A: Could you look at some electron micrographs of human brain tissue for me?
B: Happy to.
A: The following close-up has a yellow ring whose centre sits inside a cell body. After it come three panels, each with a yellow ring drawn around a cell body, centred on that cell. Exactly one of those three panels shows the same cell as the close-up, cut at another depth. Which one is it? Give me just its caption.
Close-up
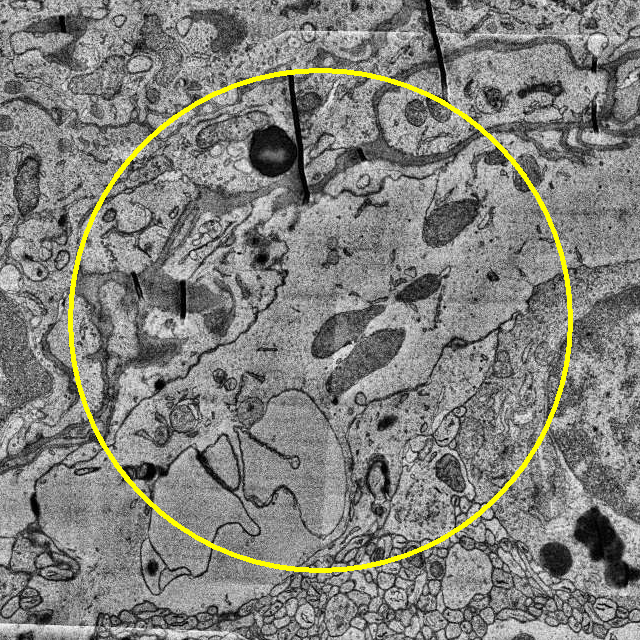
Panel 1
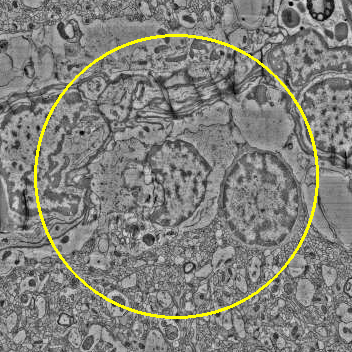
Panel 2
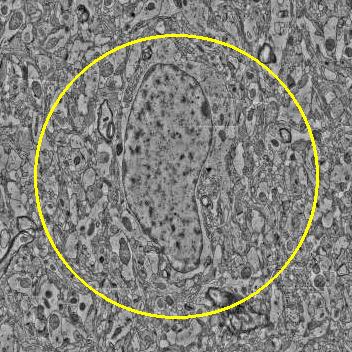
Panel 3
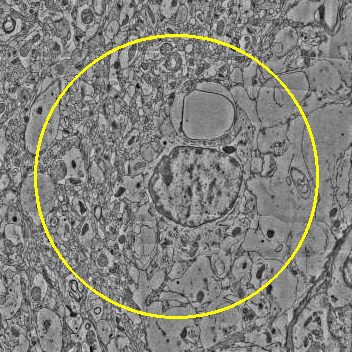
Panel 1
